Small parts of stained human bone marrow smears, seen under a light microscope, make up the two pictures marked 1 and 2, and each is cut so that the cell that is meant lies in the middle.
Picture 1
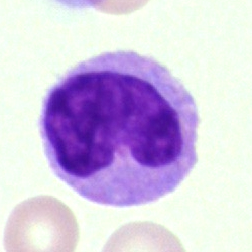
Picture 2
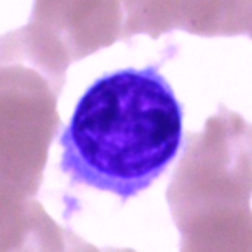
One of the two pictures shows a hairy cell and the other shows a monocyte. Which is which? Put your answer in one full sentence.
Picture 2 shows a hairy cell, while picture 1 shows a monocyte.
